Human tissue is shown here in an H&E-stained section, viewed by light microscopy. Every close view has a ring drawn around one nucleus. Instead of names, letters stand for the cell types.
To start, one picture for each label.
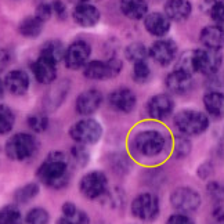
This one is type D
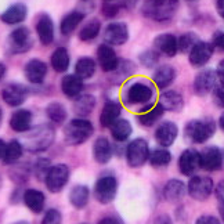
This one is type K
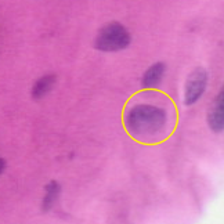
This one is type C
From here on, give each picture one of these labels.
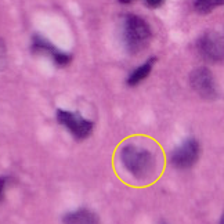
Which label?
type C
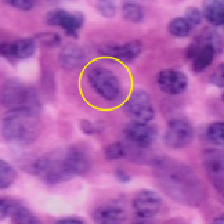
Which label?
type D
